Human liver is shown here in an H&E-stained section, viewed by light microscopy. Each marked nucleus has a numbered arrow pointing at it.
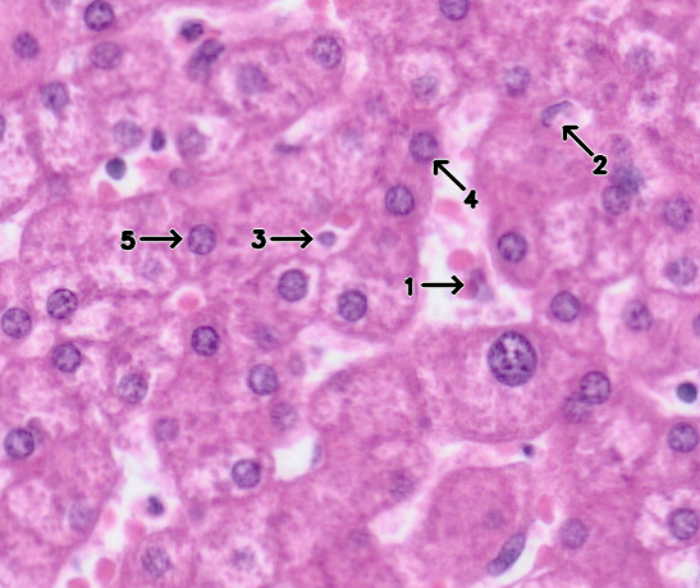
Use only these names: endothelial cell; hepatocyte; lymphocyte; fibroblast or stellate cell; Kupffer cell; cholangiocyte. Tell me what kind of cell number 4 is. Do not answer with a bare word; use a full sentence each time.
The cell that is numbered 4 is a hepatocyte.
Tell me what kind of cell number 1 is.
Cell 1 should be recorded as a Kupffer cell.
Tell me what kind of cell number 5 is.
In this section, the cell tagged 5 is a hepatocyte.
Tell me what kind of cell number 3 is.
The nucleus with number 3 is that of a lymphocyte.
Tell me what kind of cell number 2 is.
The cell carrying label 2 is identified as an endothelial cell.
